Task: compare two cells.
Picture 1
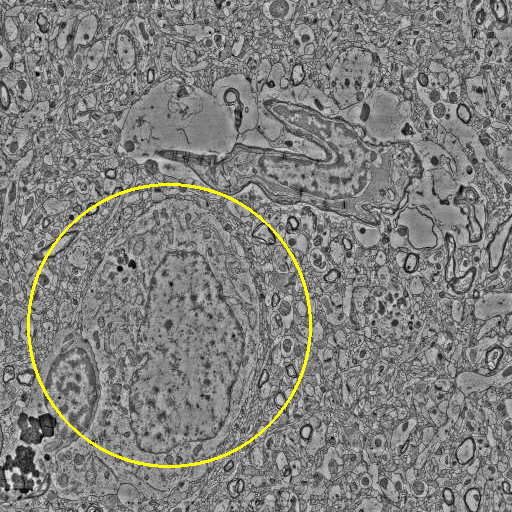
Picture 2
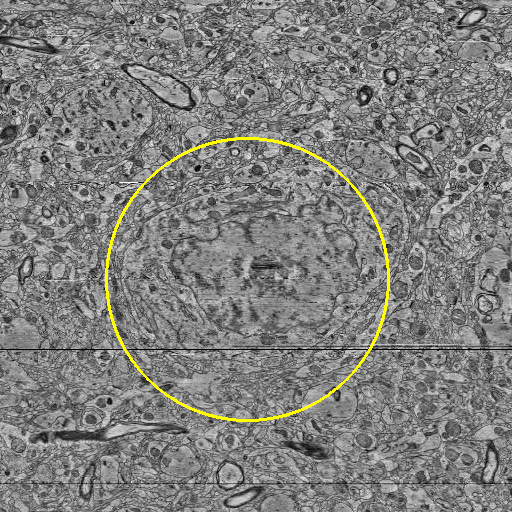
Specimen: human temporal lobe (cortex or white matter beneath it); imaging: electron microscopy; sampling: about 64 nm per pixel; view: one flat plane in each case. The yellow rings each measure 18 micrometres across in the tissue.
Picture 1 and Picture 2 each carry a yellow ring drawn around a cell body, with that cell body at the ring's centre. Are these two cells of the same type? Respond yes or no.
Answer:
yes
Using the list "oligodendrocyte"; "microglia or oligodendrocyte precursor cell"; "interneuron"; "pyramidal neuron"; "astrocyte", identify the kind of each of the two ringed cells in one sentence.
In both pictures the ring is centred on an interneuron.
